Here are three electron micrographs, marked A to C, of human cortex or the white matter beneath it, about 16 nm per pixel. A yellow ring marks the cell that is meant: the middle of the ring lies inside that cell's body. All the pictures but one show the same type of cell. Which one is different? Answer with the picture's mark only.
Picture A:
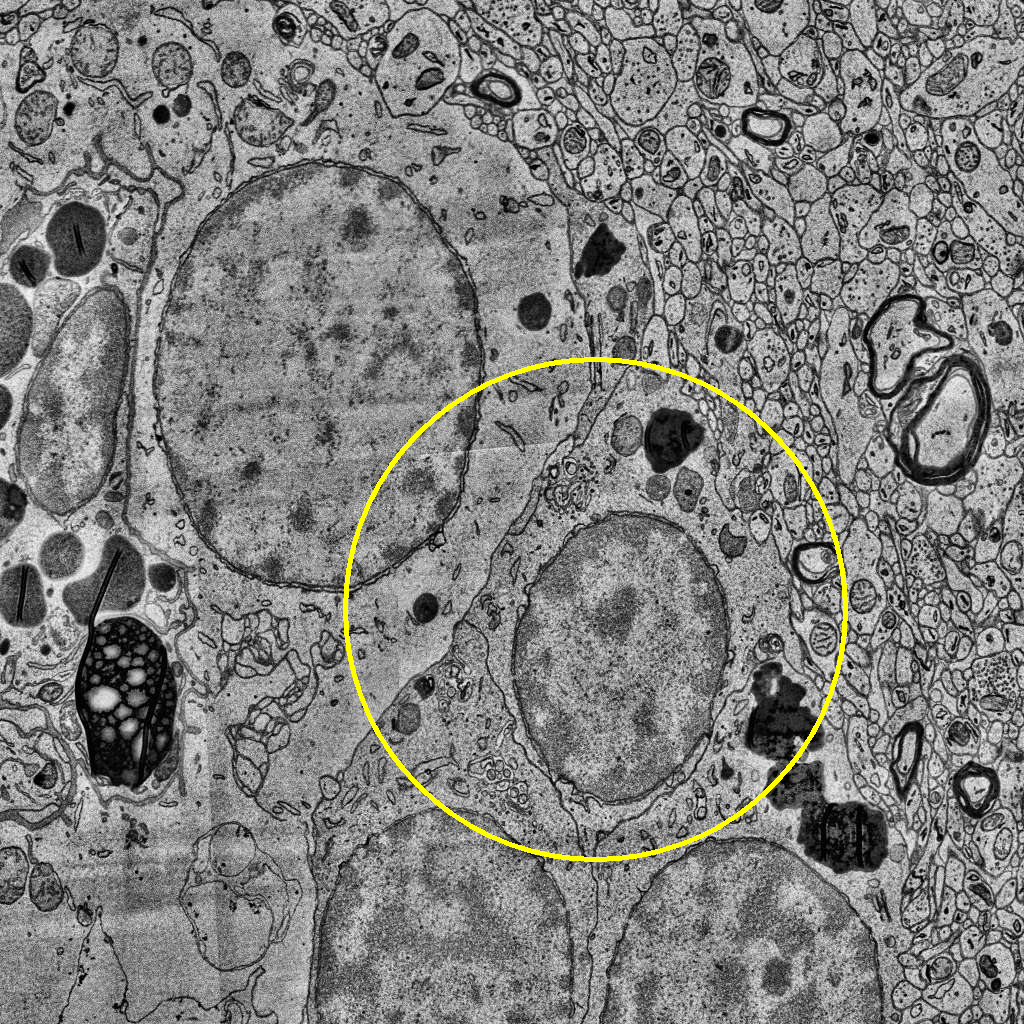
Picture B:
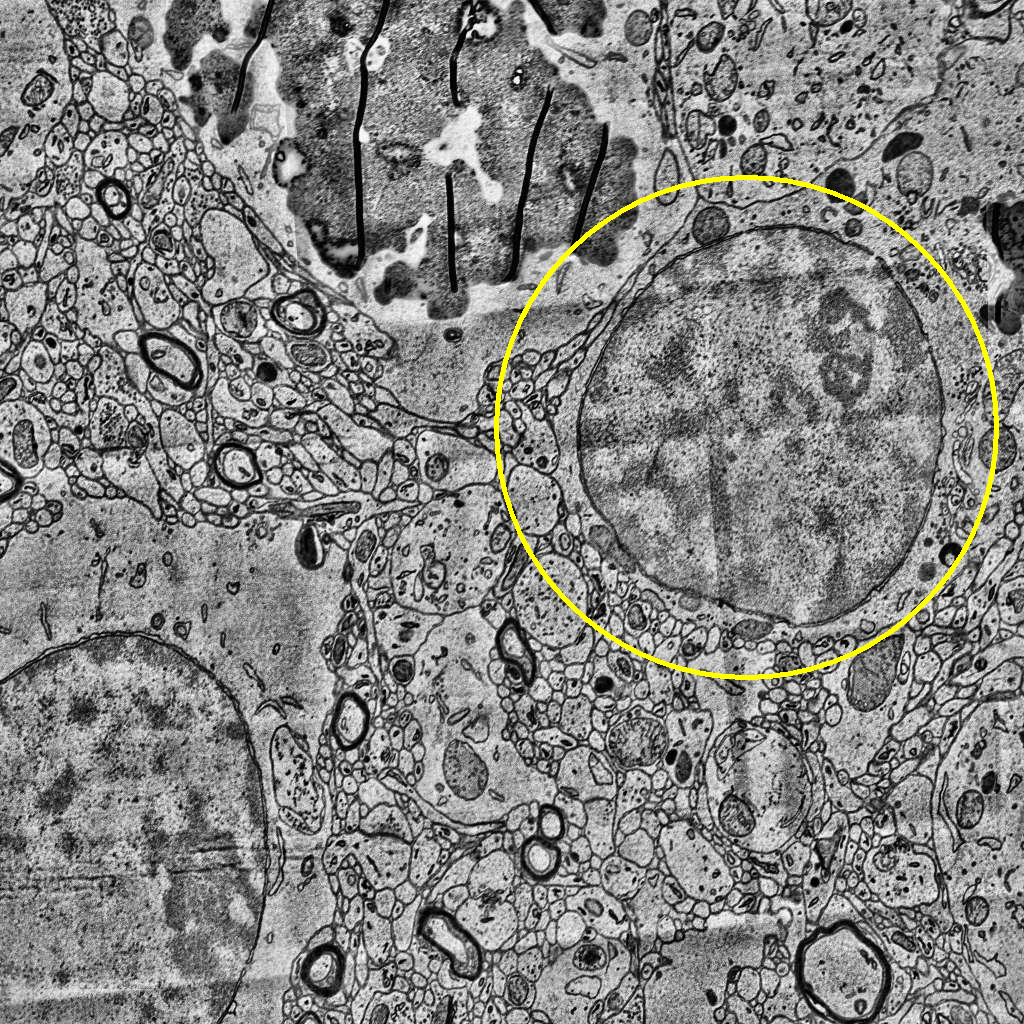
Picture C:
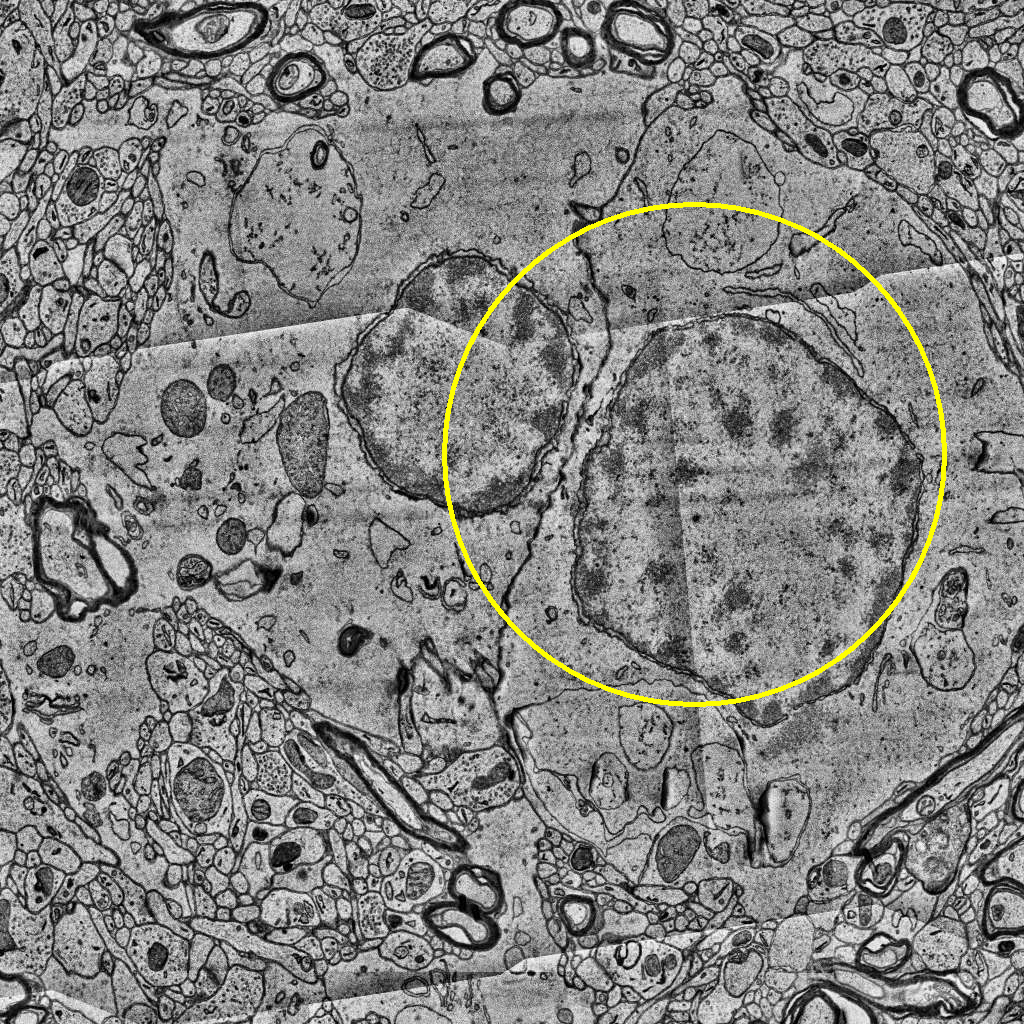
C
